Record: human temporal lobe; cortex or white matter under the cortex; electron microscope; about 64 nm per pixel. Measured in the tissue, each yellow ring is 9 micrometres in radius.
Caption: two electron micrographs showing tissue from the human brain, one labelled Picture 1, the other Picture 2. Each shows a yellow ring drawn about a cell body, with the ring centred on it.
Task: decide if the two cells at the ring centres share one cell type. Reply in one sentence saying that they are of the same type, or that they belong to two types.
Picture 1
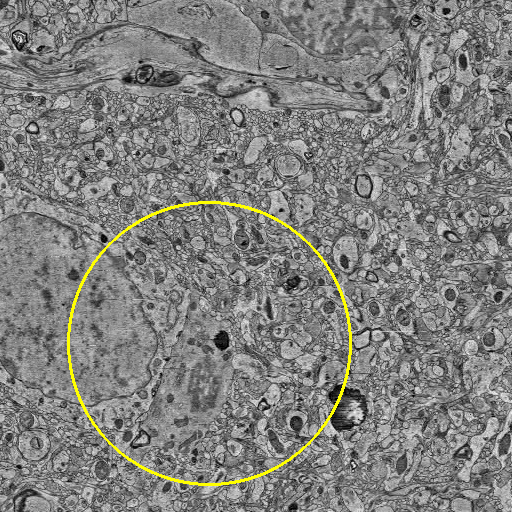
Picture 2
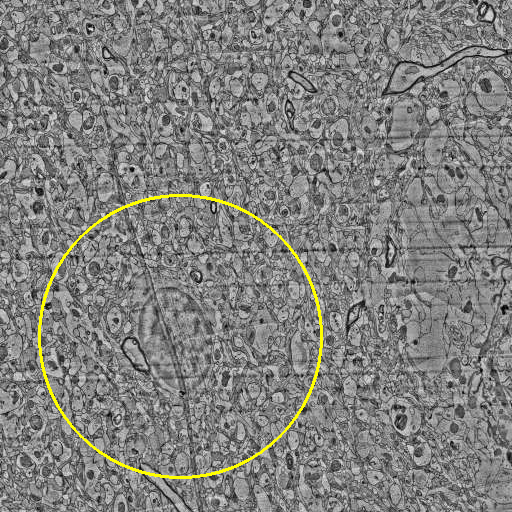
The cells at the ring centres in Picture 1 and Picture 2 are of the same type.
